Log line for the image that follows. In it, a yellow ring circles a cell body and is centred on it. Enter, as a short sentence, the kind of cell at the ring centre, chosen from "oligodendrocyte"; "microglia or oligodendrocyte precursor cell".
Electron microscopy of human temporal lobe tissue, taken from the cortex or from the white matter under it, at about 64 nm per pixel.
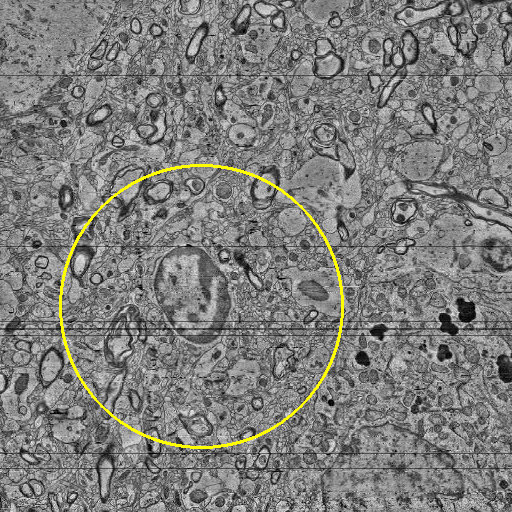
The ring centre is occupied by a microglial cell or oligodendrocyte precursor cell.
